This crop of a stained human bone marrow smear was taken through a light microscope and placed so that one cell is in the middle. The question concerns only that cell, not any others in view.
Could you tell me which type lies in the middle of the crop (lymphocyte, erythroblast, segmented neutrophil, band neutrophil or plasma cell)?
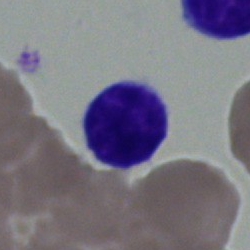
lymphocyte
